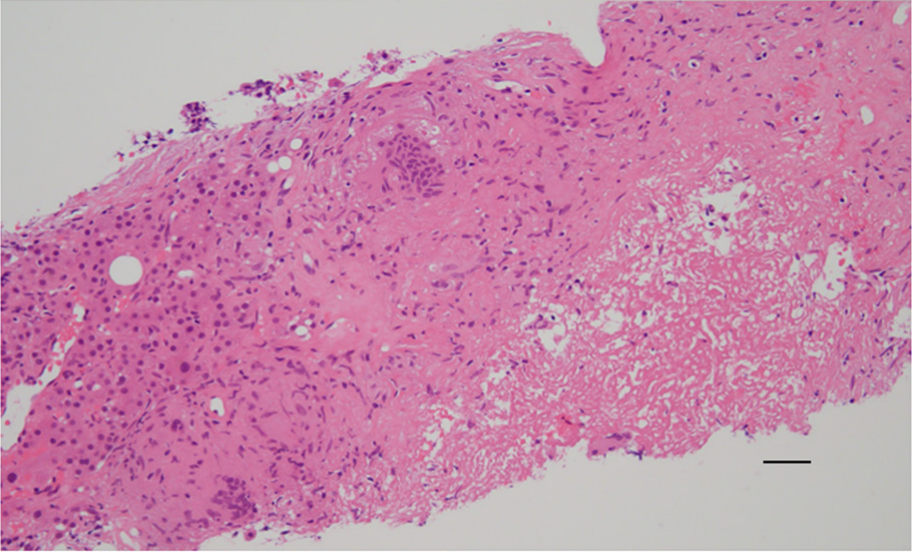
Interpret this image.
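This liver tissue shows granulomatous inflammation next to preserved liver cells. On the left, hepatocytes are polygonal cells with round purple nuclei and pink cytoplasm, arranged in plates. Toward the centre they give way to aggregates of pale pink cells with elongated, oval nuclei, within which lie multinucleated giant cells, recognisable as compact clusters of many dark nuclei. The aggregates have no structureless necrotic centre, and toward the right the tissue becomes loose, pale and finely fibrillar.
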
